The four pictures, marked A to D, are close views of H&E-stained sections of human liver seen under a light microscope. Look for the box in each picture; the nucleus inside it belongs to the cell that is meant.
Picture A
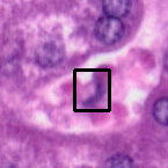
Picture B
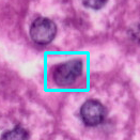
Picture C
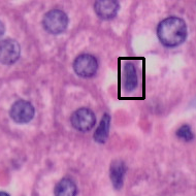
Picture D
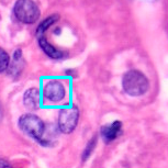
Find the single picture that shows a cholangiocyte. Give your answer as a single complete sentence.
It is picture D that shows the cholangiocyte.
